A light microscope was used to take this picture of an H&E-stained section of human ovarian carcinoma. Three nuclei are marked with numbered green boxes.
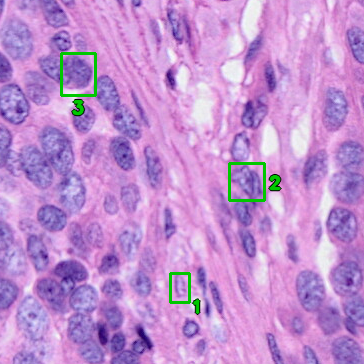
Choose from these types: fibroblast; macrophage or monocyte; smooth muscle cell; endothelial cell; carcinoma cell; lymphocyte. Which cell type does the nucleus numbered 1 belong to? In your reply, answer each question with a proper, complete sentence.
Looking at the numbered marks, cell 1 is a fibroblast.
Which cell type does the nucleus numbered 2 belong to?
The numeral 2 marks an endothelial cell in this section.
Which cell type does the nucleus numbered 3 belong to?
That cell with number 3 is a carcinoma cell.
